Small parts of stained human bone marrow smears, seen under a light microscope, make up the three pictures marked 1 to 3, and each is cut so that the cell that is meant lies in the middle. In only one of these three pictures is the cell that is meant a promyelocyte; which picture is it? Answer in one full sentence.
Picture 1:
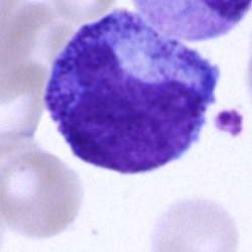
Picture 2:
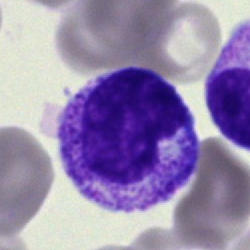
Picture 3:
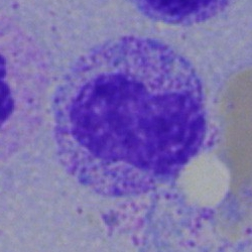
The promyelocyte is the one in picture 1.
